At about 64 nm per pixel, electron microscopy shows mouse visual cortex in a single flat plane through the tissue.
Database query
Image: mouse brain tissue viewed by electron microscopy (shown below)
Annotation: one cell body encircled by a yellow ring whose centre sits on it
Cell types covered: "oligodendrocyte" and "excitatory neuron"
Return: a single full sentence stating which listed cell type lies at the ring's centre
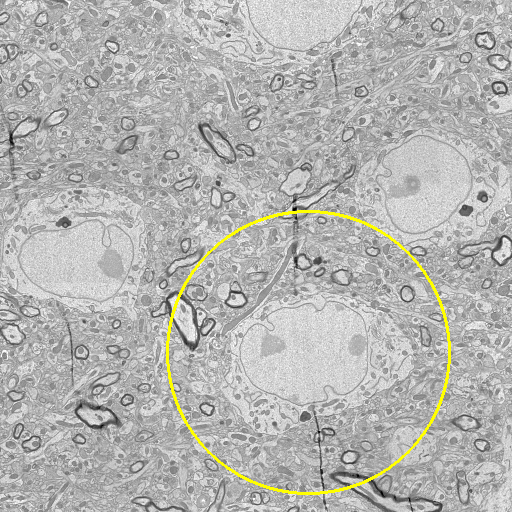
In the image, the cell lying at the ring's centre is an excitatory neuron.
